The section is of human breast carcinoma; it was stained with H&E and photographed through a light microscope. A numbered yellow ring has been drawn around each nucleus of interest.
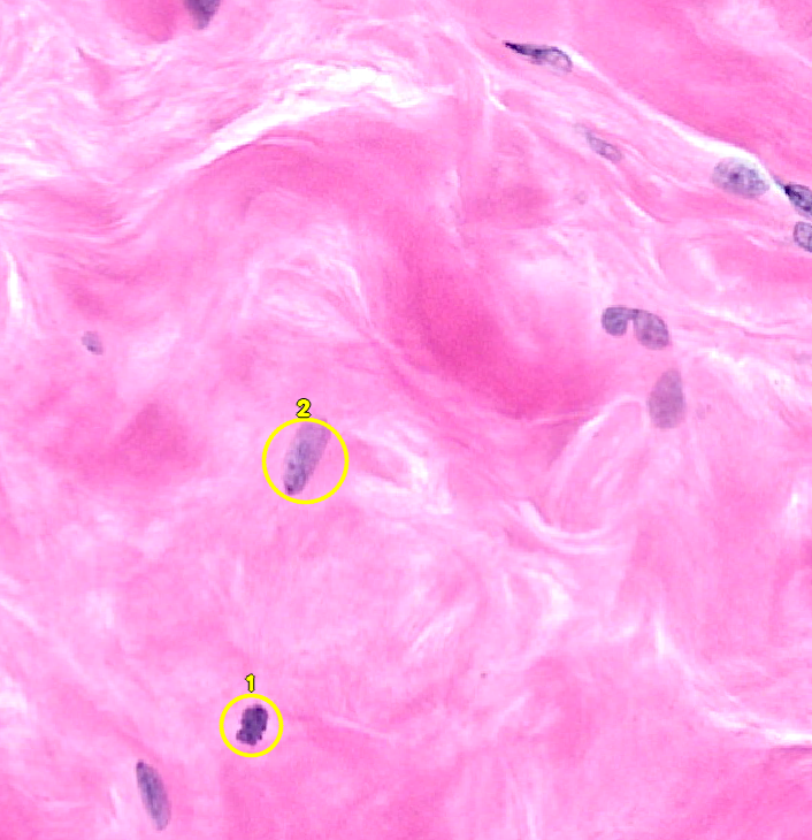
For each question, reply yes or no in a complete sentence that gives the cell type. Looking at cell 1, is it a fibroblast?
No, with respect, cell 1 is a lymphocyte rather than a fibroblast.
